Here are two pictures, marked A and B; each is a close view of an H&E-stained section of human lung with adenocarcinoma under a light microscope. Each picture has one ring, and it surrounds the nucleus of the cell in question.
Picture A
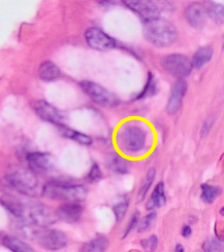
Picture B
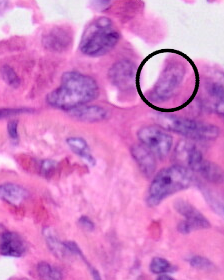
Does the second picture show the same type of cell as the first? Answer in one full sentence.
No. Picture A shows a ciliated epithelial cell, but picture B shows a carcinoma cell.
